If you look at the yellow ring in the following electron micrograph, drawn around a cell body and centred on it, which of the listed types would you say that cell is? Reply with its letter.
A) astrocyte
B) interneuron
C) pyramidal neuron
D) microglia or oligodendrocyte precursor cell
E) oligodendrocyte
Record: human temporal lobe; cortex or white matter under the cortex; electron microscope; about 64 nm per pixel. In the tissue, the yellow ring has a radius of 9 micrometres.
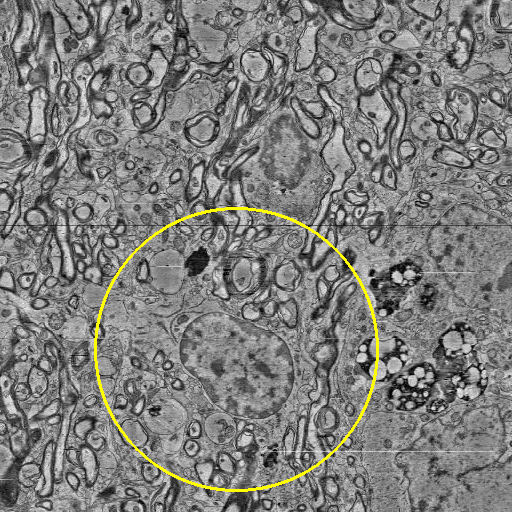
D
